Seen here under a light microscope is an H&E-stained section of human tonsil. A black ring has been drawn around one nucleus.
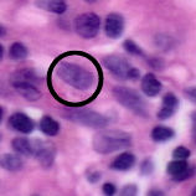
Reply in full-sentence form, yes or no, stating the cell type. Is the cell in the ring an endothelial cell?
Yes, the claim that the cell in the ring is an endothelial cell holds true.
